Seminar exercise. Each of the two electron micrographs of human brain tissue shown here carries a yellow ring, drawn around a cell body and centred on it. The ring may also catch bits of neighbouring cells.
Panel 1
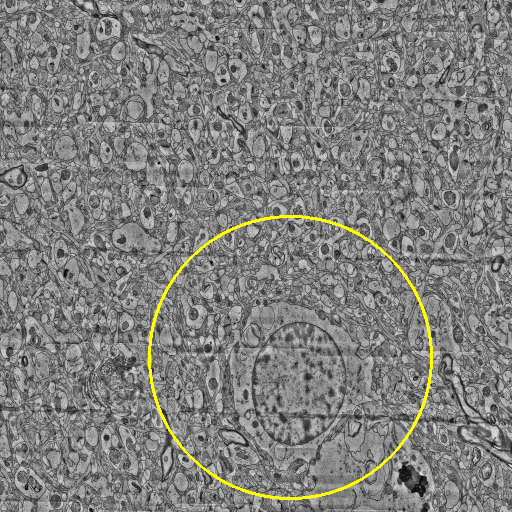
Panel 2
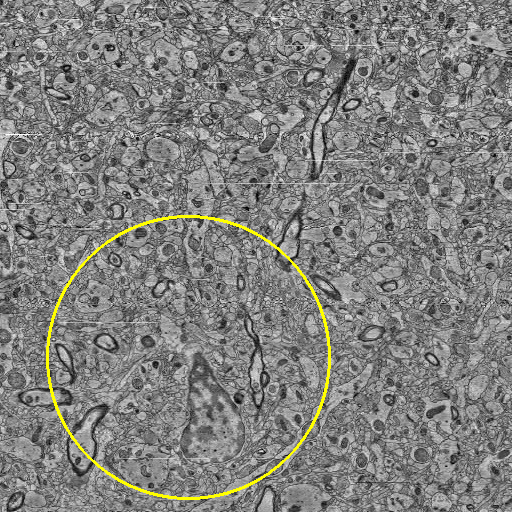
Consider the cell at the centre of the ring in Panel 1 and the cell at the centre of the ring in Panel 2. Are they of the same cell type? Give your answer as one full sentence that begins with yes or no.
No, the two cells are of two types.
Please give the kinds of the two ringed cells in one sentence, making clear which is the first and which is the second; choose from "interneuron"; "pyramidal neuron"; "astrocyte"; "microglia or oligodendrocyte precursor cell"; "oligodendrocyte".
In the second picture the ringed cell is a microglial cell or oligodendrocyte precursor cell; in the first it is an astrocyte.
